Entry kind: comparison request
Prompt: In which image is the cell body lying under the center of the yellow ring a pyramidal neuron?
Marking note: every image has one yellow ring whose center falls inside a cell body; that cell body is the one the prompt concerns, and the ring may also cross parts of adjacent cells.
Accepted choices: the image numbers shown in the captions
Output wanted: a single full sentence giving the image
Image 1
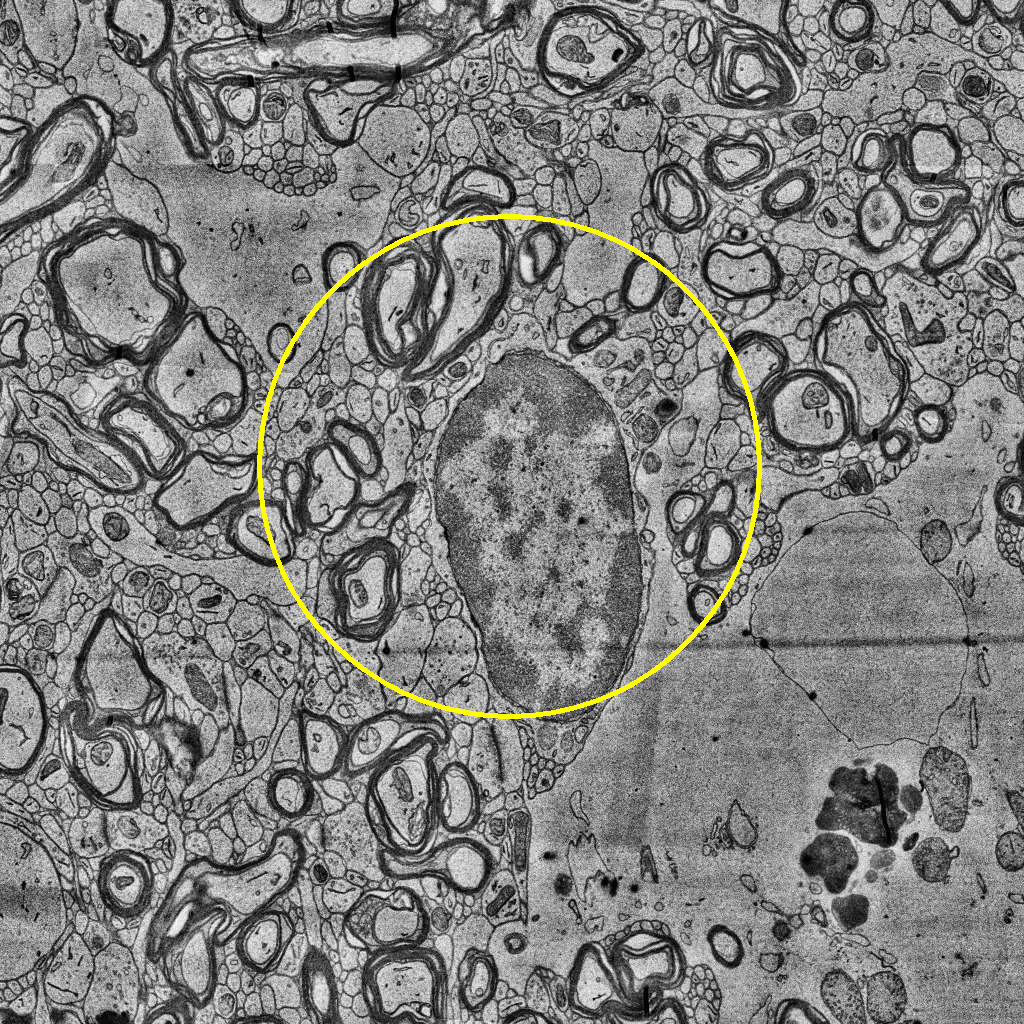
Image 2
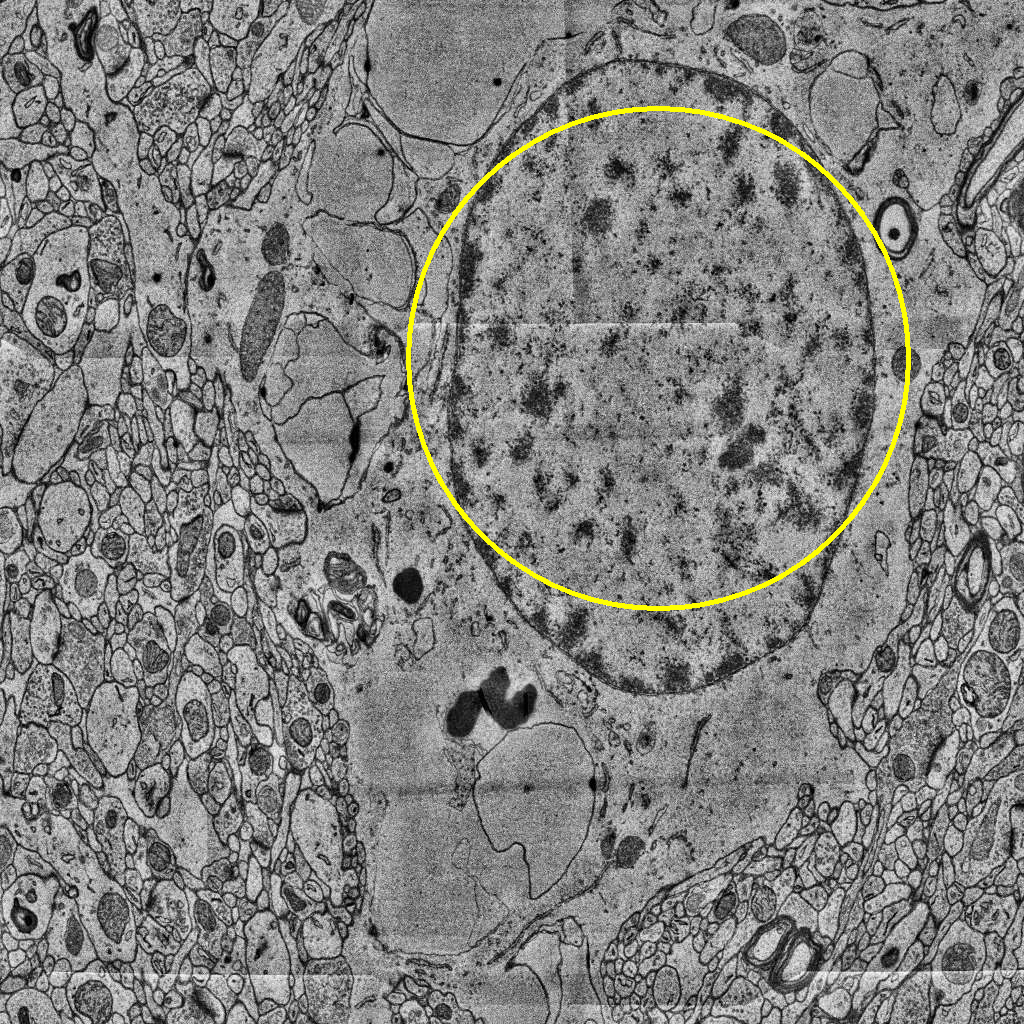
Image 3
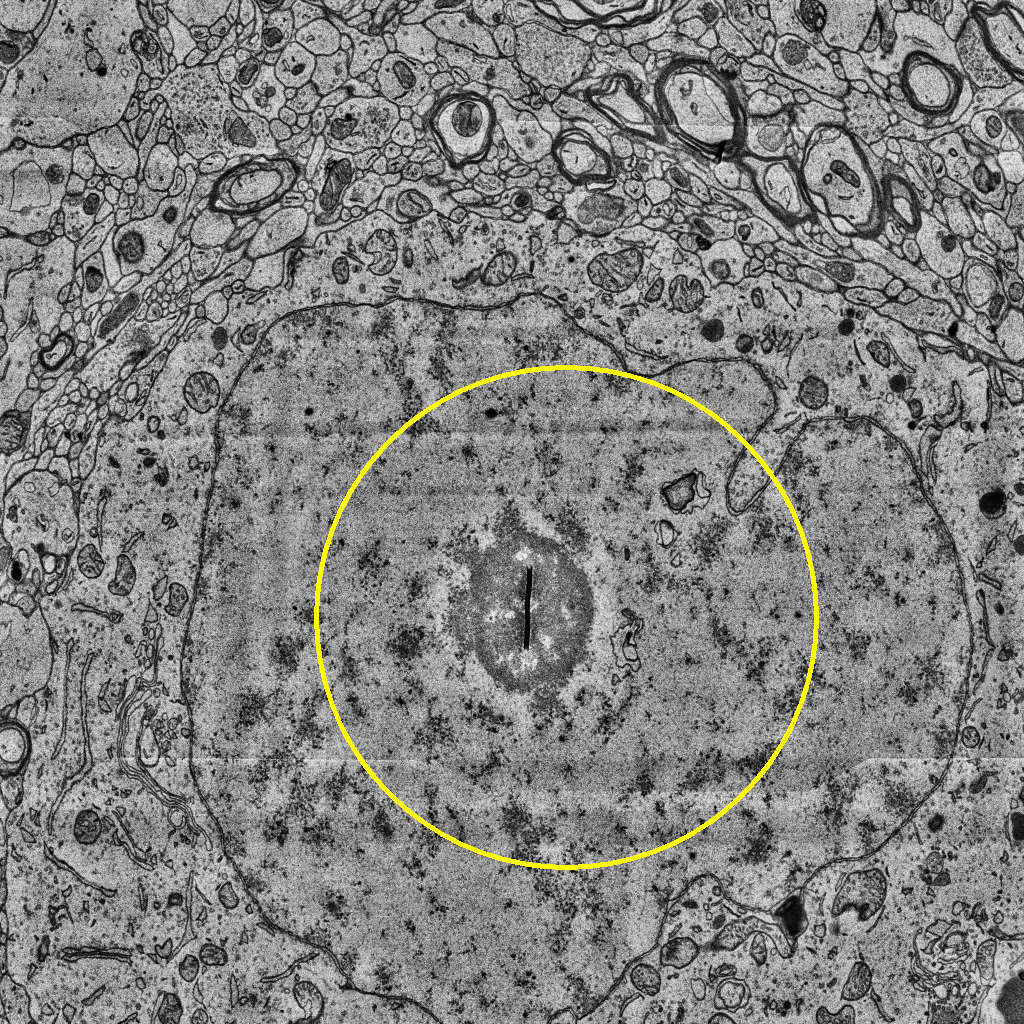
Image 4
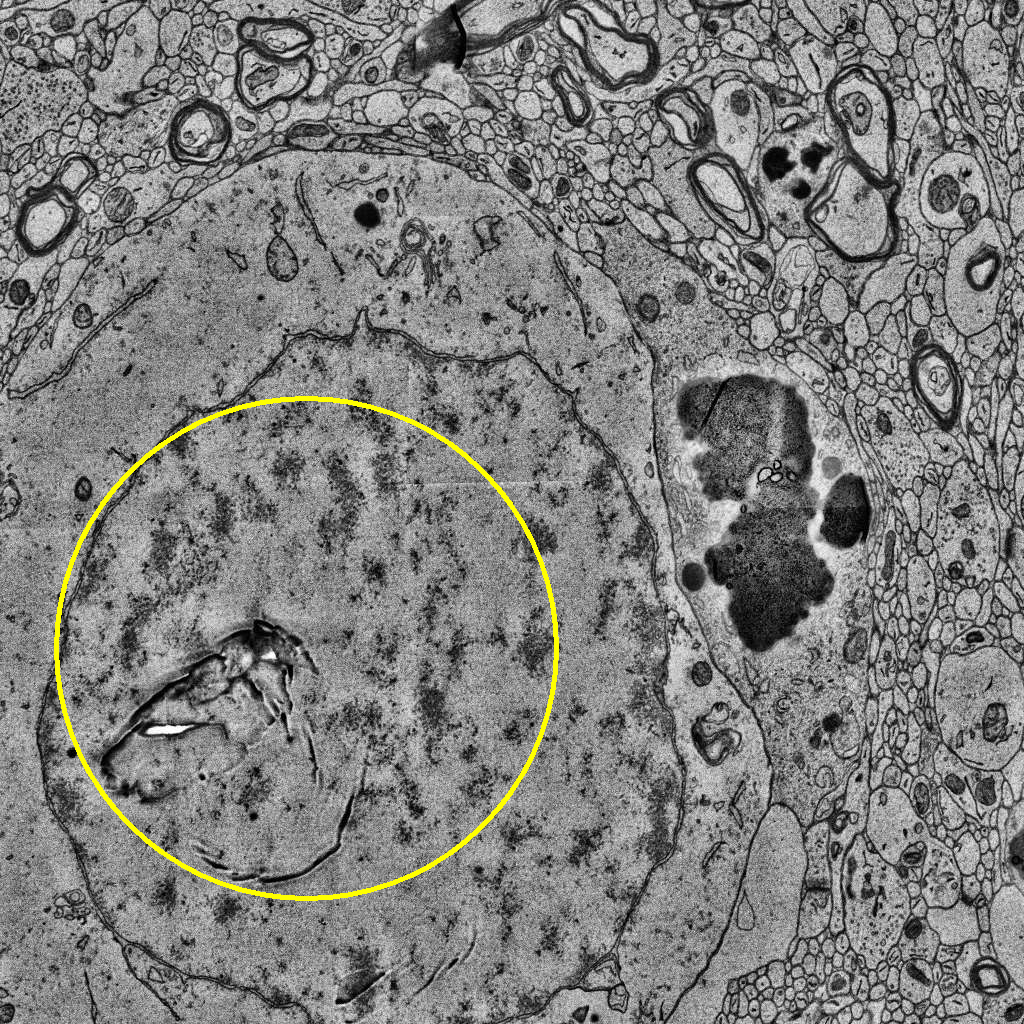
In image 3, the cell holding the center of the yellow ring matches the prompt.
